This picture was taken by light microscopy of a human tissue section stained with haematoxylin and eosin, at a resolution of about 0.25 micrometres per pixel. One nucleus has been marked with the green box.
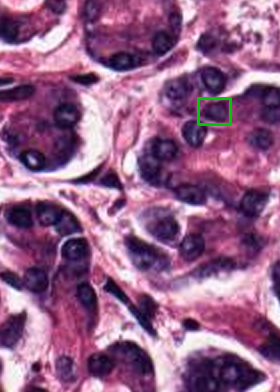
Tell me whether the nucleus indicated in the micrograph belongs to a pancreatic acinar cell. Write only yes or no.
yes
